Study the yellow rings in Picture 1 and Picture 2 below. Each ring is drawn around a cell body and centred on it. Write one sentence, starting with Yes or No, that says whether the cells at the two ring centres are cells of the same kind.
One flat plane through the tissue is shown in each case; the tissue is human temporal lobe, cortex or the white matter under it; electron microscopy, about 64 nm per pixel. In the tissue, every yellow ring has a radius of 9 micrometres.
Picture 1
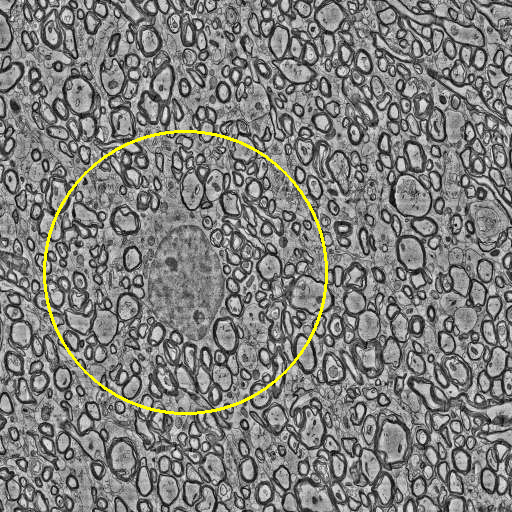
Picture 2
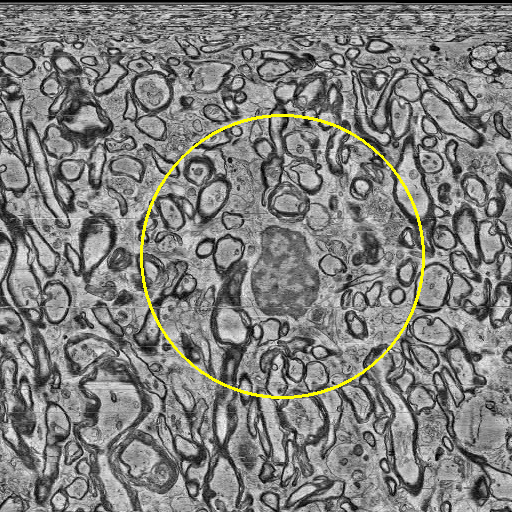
No, the cells at the ring centres are of two kinds.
